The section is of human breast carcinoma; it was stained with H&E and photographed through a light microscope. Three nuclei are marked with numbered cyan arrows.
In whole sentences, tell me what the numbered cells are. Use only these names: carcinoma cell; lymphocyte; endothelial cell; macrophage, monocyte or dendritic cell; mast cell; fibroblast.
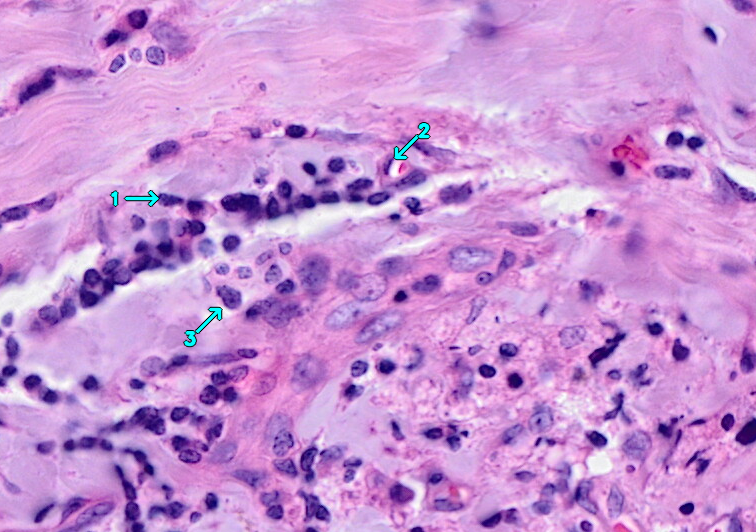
Cell 1 is a lymphocyte, cell 2 is an endothelial cell and cell 3 is a lymphocyte.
